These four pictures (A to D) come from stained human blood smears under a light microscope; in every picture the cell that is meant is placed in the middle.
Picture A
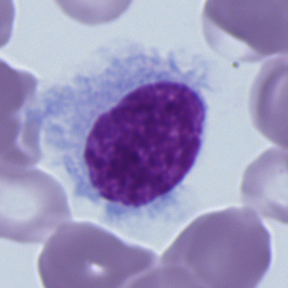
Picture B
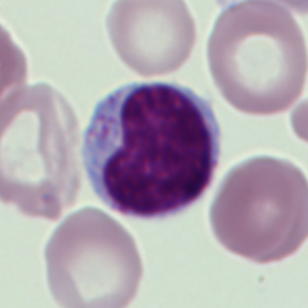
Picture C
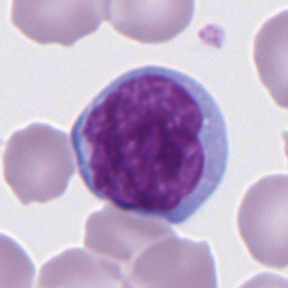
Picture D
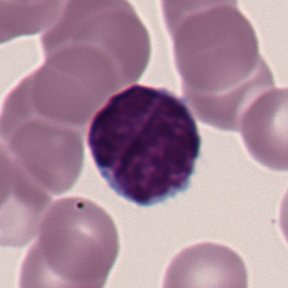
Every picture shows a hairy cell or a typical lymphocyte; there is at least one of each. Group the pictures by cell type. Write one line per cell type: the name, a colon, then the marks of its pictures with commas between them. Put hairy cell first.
hairy cell: A
typical lymphocyte: B, C, D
